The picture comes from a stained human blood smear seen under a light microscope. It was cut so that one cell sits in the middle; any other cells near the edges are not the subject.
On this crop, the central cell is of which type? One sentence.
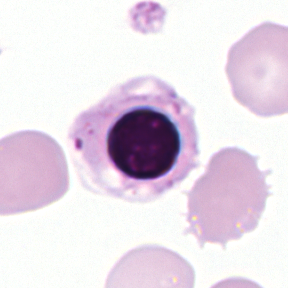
The middle of this crop holds a normoblast.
